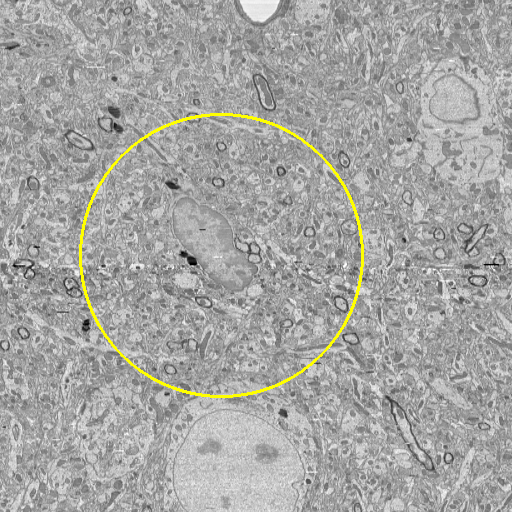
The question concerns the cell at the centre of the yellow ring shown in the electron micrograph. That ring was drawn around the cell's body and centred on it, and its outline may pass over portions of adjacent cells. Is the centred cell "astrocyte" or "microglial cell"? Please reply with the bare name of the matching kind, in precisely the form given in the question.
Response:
microglial cell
